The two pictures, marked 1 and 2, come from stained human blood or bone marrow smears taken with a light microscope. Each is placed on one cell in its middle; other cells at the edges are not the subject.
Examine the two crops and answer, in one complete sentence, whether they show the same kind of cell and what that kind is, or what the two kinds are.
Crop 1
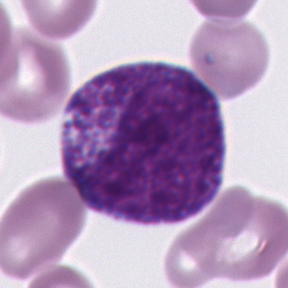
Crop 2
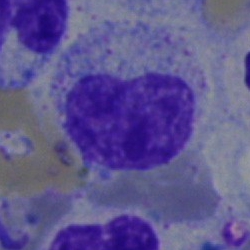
No, within crop 1 lies a myelocyte, and within crop 2 lies a metamyelocyte.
